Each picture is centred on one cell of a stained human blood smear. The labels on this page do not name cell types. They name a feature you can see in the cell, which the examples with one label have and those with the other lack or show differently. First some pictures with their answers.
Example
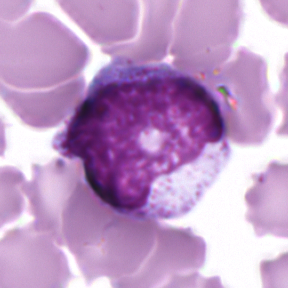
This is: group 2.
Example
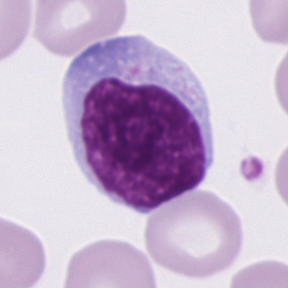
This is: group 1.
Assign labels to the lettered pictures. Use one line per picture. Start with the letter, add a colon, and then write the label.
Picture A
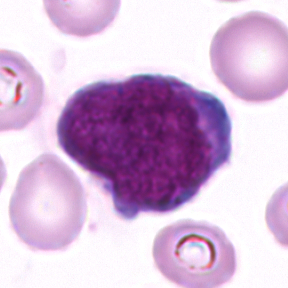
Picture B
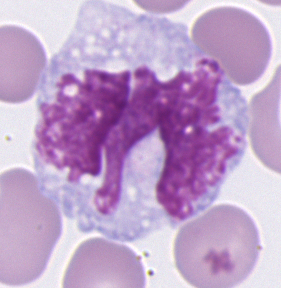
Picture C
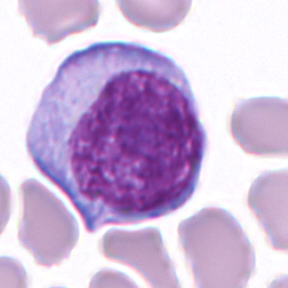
A: group 2.
B: group 1.
C: group 1.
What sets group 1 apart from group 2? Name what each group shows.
In group 1: abundant cytoplasm. In group 2: scant cytoplasm.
